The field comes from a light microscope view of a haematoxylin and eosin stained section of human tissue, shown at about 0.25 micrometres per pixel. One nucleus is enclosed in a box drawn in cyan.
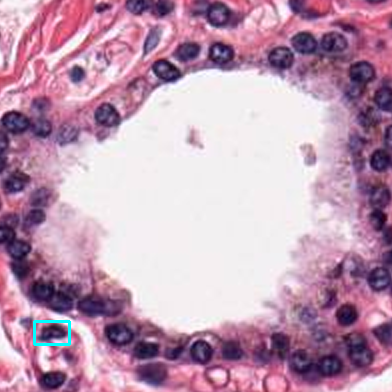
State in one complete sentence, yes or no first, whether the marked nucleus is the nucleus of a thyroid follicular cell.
No, belonging to a supporting cell, the marked nucleus is not part of a thyroid follicular cell.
